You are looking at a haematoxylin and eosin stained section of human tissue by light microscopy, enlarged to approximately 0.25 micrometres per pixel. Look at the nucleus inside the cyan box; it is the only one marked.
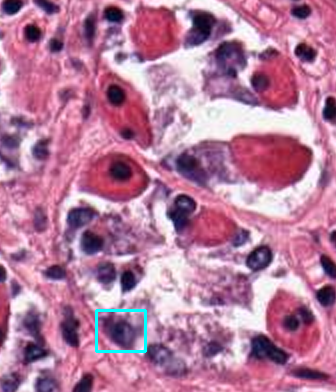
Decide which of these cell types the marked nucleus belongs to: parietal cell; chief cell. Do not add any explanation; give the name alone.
chief cell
